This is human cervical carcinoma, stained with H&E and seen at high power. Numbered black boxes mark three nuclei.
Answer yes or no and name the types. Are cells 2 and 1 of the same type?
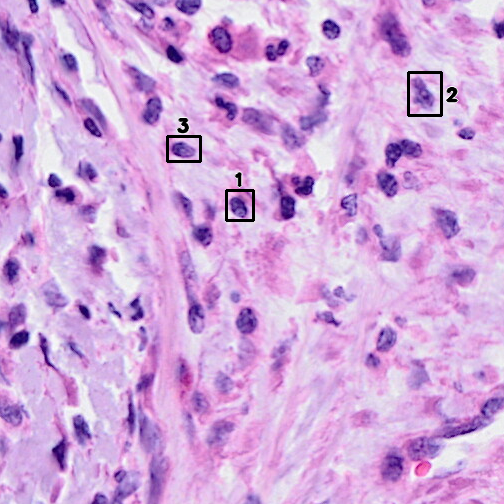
No, cell 2 is to be identified as a macrophage or monocyte and cell 1 as a lymphocyte.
